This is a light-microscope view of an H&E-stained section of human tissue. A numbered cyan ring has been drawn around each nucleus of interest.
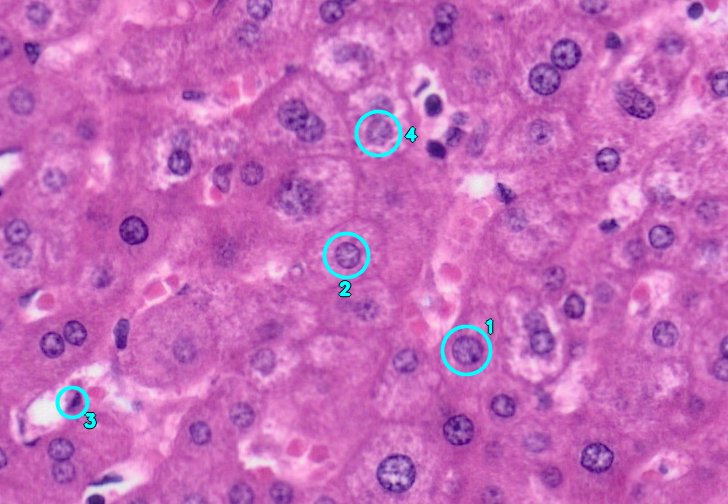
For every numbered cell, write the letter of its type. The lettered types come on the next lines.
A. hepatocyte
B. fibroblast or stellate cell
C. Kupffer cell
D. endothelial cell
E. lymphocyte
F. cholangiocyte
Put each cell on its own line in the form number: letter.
1: A
2: A
3: C
4: A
